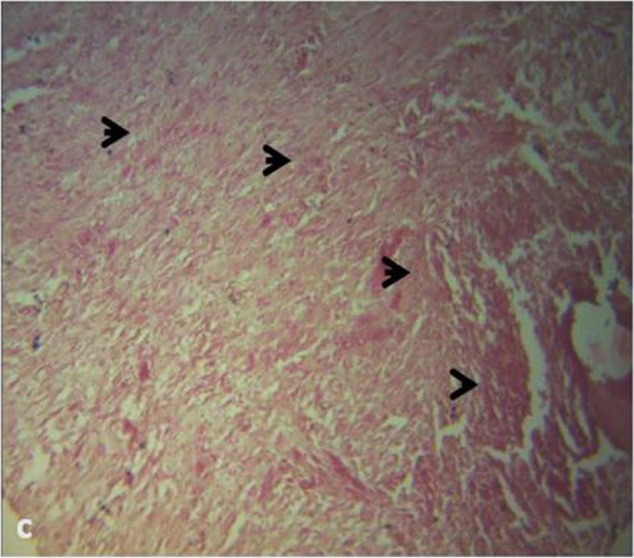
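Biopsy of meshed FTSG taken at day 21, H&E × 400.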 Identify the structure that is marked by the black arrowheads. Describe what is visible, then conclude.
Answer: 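The field is filled with pink fibrous extracellular material. The material becomes a deeper pink, compact mass toward the lower right. Very few nuclei are scattered in the pink matrix. So: collagen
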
